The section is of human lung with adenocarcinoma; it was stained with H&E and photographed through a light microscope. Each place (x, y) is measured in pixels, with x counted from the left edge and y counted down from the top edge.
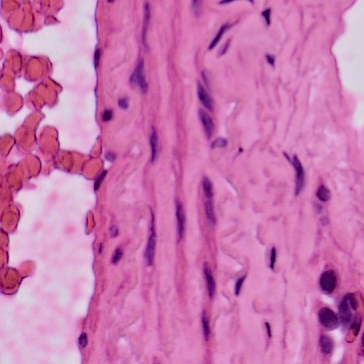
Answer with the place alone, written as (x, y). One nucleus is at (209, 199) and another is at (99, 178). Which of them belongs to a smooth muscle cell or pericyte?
(209, 199)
